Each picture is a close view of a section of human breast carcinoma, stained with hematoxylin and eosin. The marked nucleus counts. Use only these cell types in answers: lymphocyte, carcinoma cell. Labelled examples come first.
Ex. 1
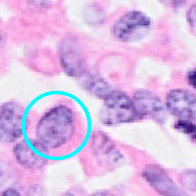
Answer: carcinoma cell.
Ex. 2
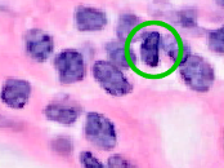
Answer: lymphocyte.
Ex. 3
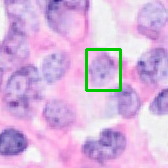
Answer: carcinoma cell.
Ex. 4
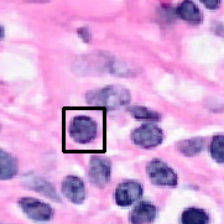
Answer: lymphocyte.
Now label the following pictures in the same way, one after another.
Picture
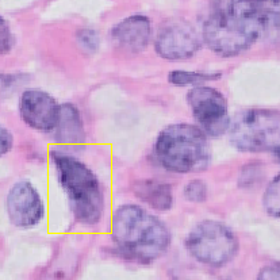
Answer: carcinoma cell.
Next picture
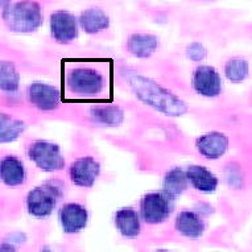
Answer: lymphocyte.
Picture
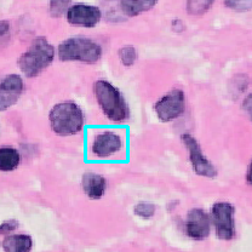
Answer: lymphocyte.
